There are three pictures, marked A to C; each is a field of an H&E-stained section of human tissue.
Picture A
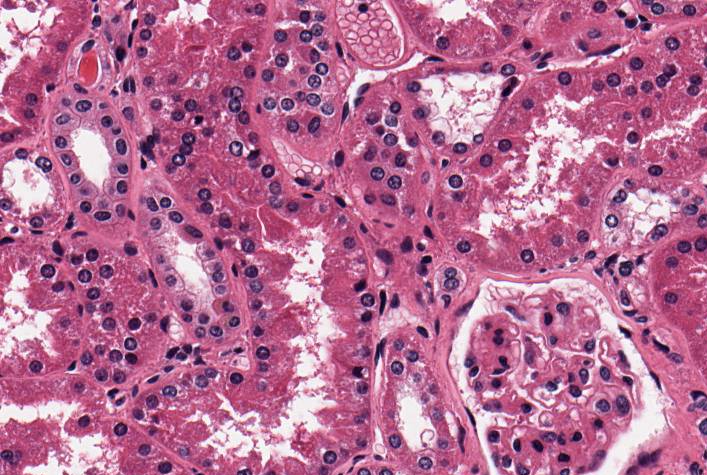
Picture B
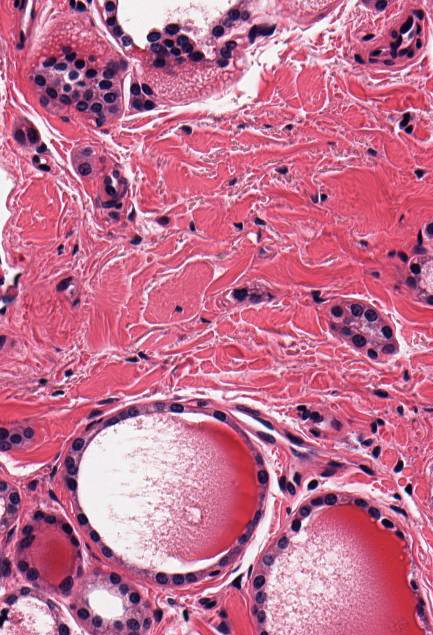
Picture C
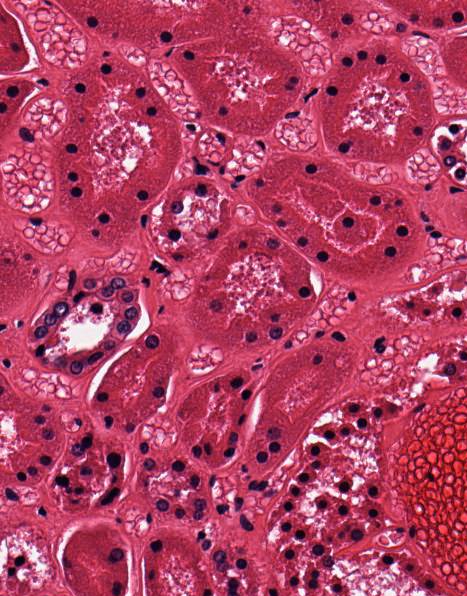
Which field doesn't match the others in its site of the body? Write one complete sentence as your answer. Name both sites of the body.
All pictures except B come from the renal cortex; picture B comes from the thyroid.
